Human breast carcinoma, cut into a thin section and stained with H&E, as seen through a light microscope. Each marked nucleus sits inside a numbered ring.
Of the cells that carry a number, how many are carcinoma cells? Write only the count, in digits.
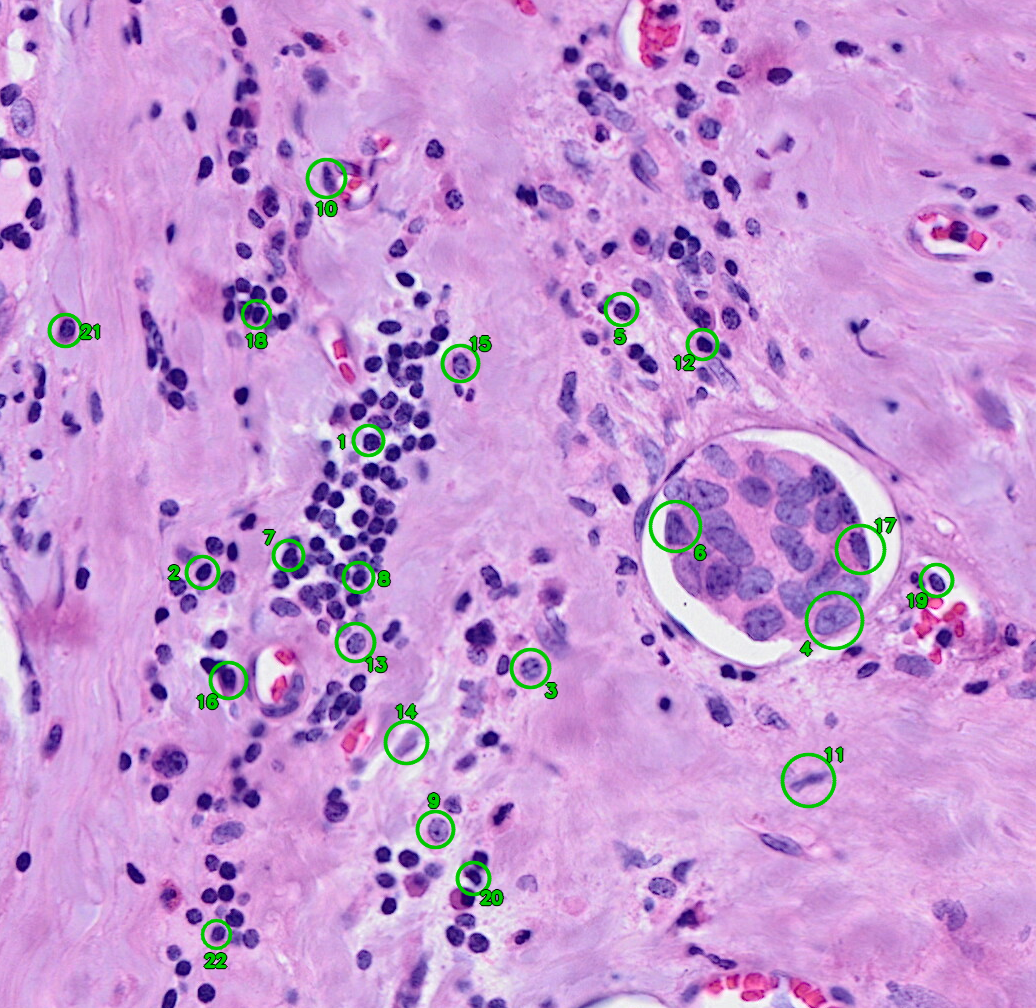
3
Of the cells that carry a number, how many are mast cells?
4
